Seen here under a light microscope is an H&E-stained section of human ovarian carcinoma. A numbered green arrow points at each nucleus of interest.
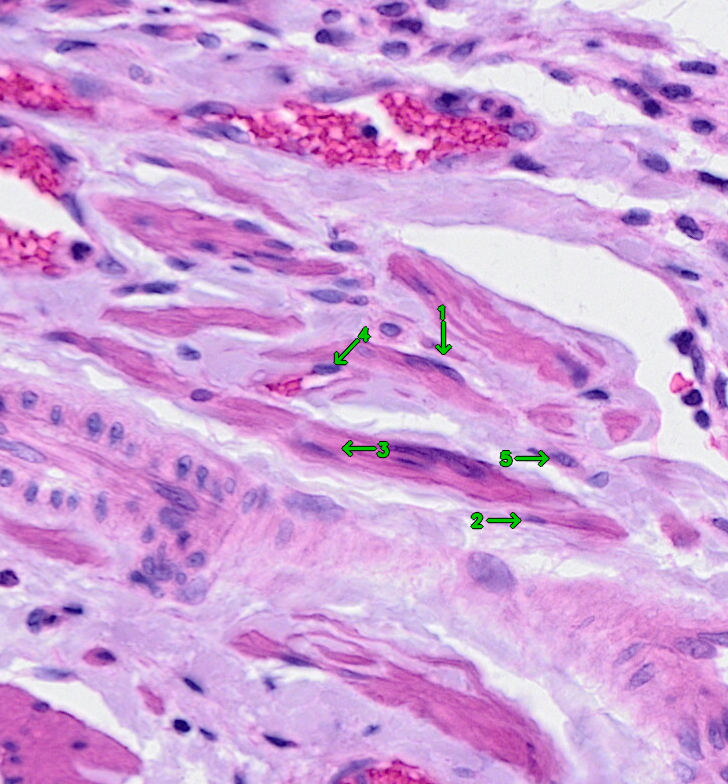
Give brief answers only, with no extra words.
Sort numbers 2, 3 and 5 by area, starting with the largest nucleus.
3, 5, 2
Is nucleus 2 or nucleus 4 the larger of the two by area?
4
